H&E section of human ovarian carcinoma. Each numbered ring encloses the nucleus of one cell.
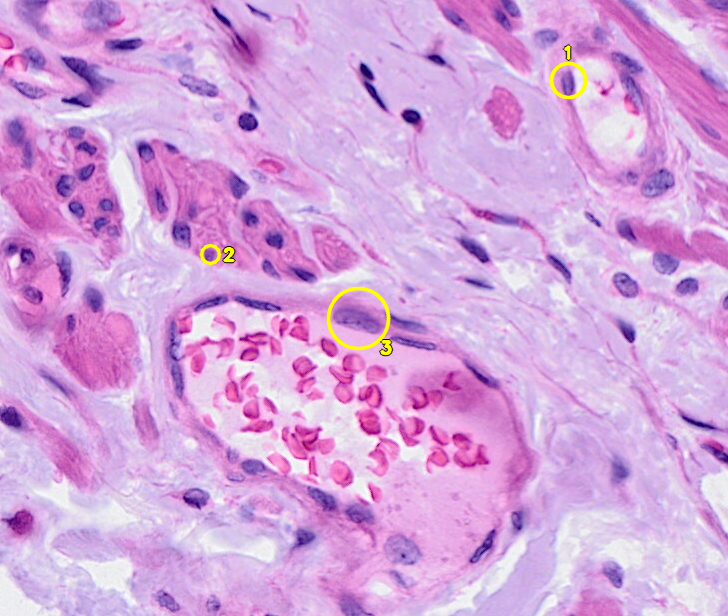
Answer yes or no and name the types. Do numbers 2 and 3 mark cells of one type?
No, with respect, cell 2 is a smooth muscle cell and cell 3 is an endothelial cell.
